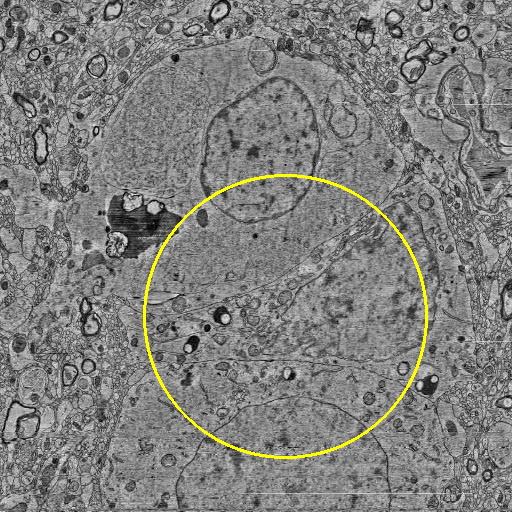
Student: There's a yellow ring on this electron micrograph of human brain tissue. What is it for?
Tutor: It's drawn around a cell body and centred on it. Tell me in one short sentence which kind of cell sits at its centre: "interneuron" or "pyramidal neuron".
The cell at the centre of the ring is an interneuron.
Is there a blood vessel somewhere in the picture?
Yes, one is visible.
